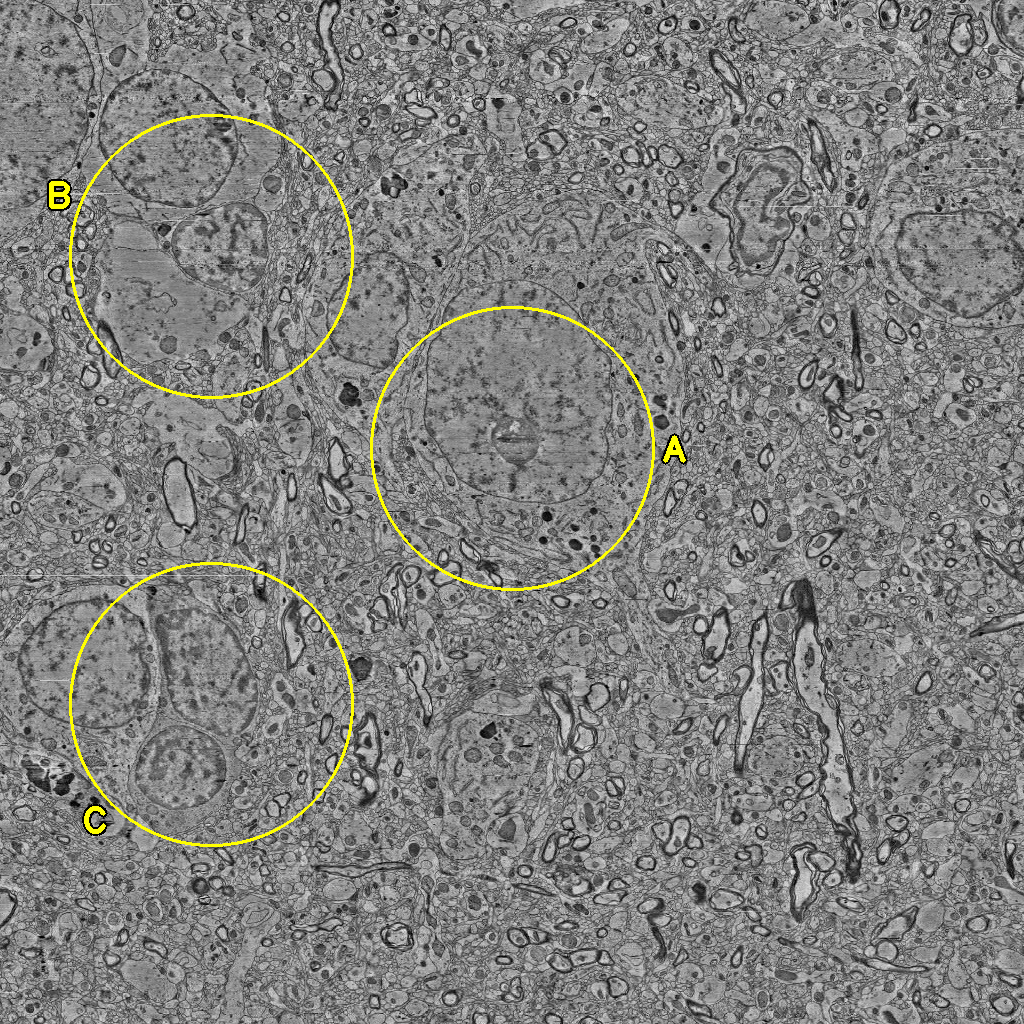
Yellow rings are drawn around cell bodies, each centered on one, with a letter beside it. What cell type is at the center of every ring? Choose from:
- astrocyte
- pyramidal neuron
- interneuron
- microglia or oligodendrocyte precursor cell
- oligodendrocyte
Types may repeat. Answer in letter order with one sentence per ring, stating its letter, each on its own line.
The cell at the center of ring A is a pyramidal neuron.
The cell at the center of ring B is a microglial cell or oligodendrocyte precursor cell.
The cell at the center of ring C is an oligodendrocyte.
